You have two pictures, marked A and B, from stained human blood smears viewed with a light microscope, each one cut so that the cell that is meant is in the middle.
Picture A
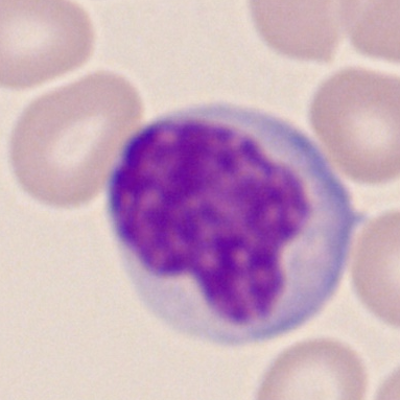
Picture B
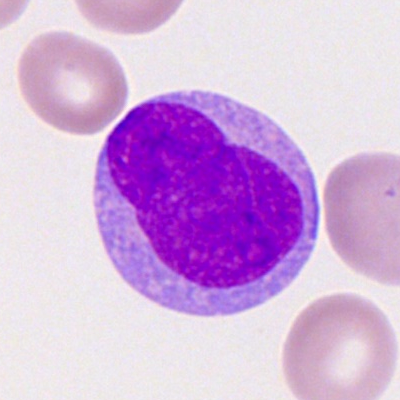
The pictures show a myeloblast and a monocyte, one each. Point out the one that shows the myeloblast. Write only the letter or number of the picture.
B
